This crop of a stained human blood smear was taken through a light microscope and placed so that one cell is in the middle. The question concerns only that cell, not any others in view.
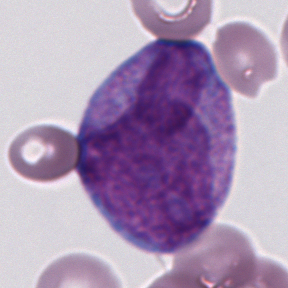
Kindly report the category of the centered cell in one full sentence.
The cell that lies at the centre of the crop is an atypical promyelocyte.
